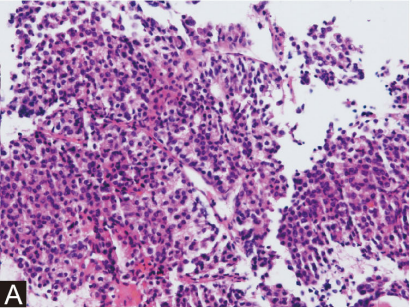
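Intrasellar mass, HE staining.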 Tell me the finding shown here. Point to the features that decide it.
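Cells are packed densely in nests.
Answer: high nuclear-to-cytoplasmic ratio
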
